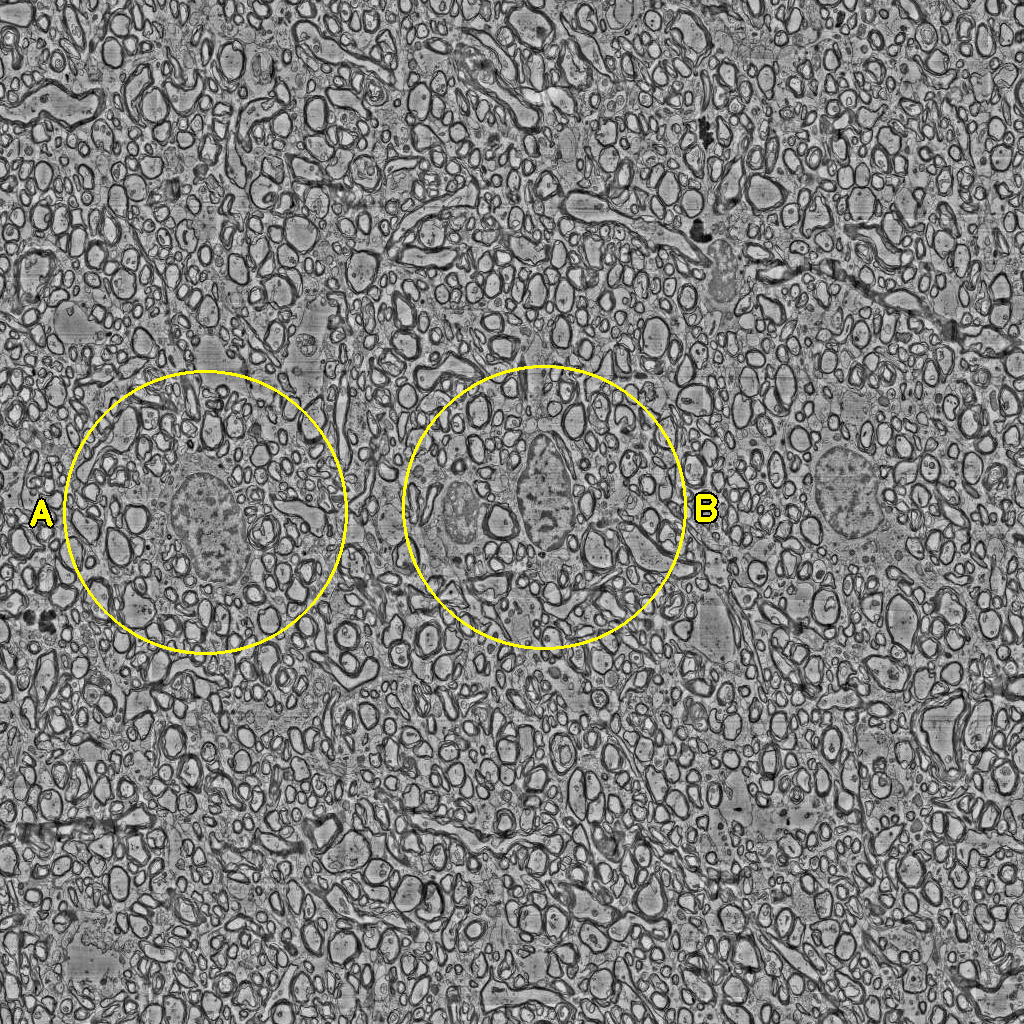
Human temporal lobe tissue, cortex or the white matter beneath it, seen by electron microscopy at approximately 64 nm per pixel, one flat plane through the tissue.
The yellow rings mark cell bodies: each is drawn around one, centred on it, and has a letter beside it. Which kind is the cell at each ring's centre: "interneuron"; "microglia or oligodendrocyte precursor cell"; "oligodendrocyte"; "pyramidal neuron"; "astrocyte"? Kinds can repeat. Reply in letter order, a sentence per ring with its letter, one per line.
At the centre of ring A lies an oligodendrocyte.
At the centre of ring B lies a microglial cell or oligodendrocyte precursor cell.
